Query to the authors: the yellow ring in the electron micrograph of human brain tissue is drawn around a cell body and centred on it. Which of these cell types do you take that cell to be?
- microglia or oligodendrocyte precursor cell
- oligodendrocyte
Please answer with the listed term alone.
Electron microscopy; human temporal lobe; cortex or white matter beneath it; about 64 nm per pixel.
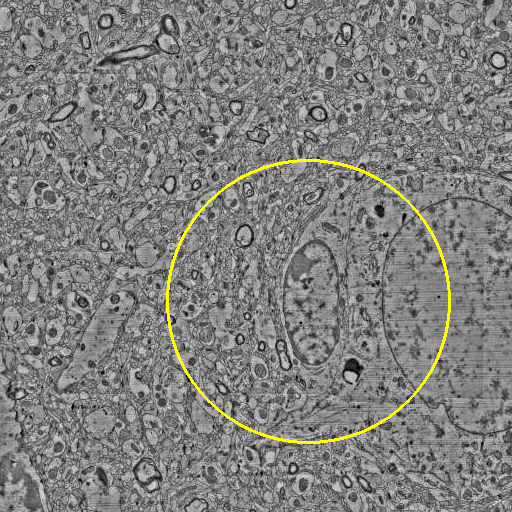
microglia or oligodendrocyte precursor cell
